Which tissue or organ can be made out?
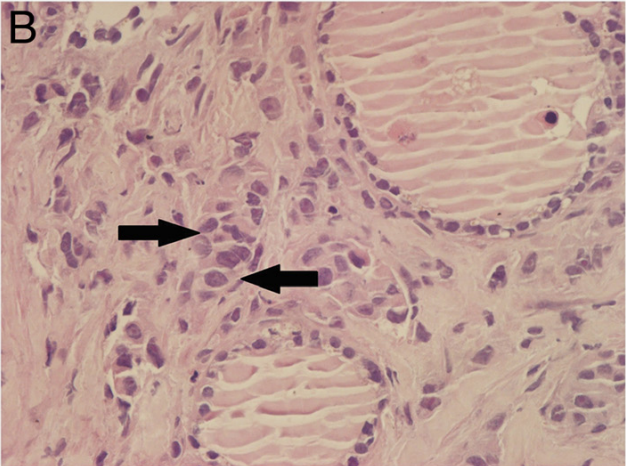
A: Thyroid tissue.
